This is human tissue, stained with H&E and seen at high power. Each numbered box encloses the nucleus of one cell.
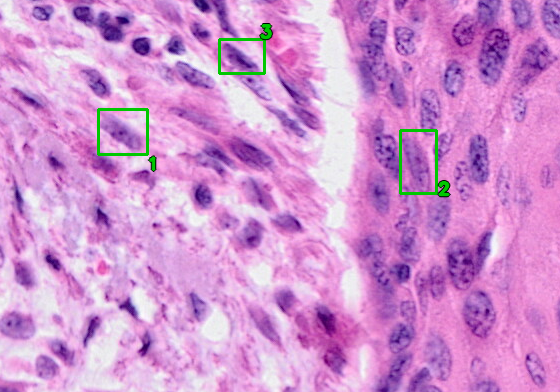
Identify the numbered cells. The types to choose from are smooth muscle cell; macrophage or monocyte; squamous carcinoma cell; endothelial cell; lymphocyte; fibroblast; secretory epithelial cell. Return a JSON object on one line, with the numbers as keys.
{"1": "fibroblast", "2": "squamous carcinoma cell", "3": "fibroblast"}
